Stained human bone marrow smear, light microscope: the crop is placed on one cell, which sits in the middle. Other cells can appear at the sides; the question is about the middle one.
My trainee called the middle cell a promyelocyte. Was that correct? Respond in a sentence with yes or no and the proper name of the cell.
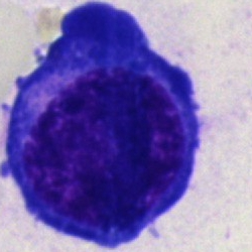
No, the cell located centrally is a proerythroblast rather than a promyelocyte.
